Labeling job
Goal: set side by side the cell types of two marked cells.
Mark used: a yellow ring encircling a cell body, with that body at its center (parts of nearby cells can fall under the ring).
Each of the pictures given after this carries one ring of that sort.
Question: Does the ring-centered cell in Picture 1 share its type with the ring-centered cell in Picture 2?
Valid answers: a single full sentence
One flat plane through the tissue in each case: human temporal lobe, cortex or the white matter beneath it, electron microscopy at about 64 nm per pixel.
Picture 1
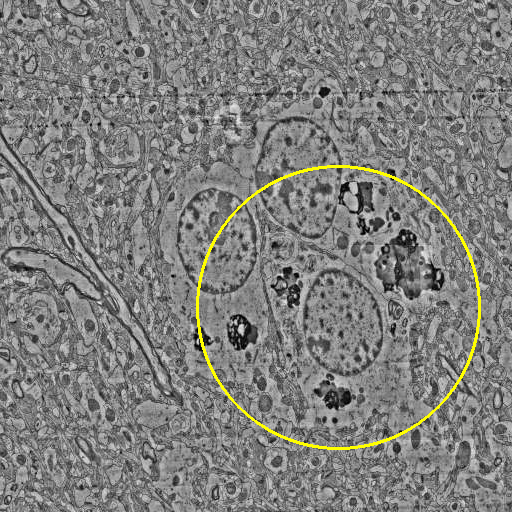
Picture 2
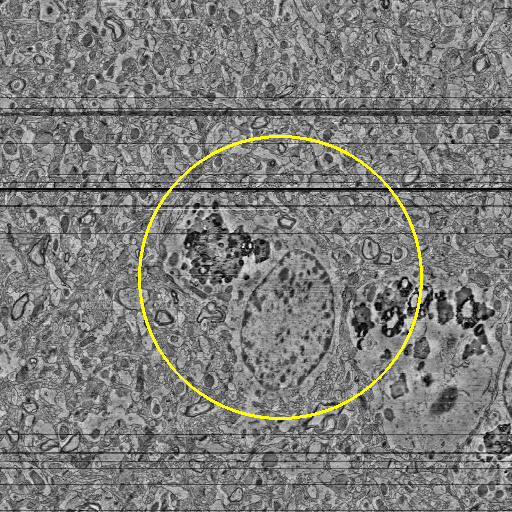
Yes, in Pictures 1 and 2 the cells at the ring centers share one type.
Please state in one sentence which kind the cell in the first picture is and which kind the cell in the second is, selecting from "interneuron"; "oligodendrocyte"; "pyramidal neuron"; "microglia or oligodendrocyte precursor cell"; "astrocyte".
Each cell, in the first picture and the second, is an astrocyte.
